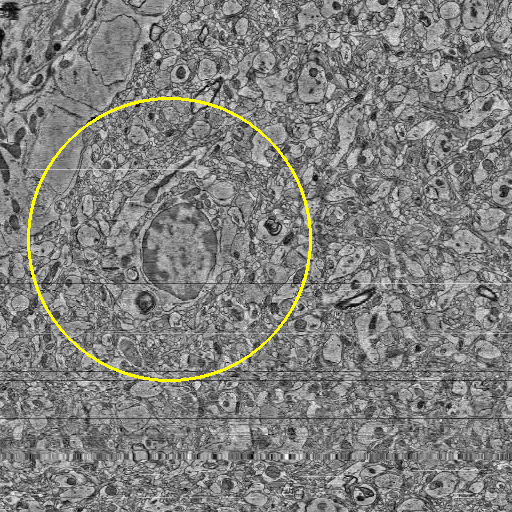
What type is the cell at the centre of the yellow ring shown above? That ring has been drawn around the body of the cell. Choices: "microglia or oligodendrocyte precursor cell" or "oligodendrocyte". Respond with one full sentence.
My answer is that a microglial cell or oligodendrocyte precursor cell lies at the centre of the yellow ring above.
